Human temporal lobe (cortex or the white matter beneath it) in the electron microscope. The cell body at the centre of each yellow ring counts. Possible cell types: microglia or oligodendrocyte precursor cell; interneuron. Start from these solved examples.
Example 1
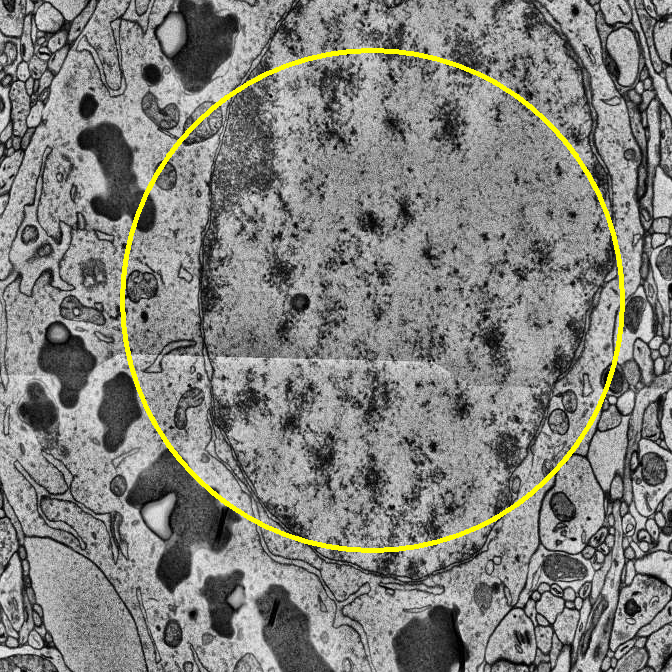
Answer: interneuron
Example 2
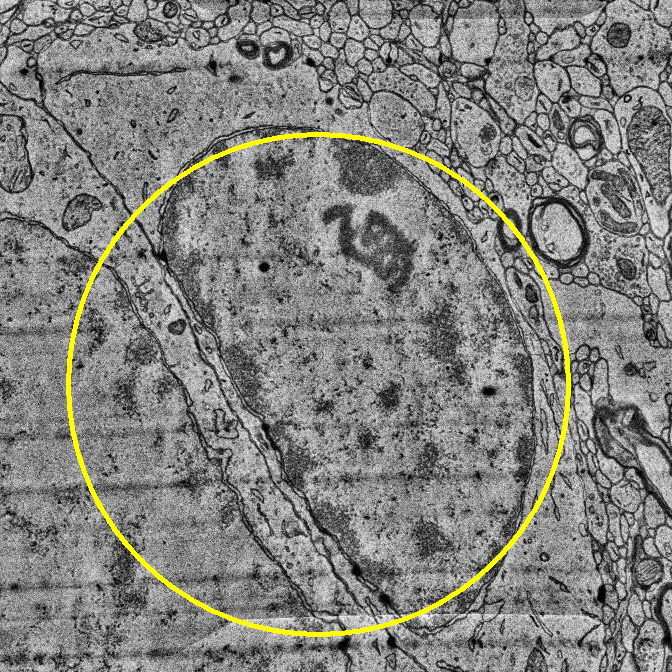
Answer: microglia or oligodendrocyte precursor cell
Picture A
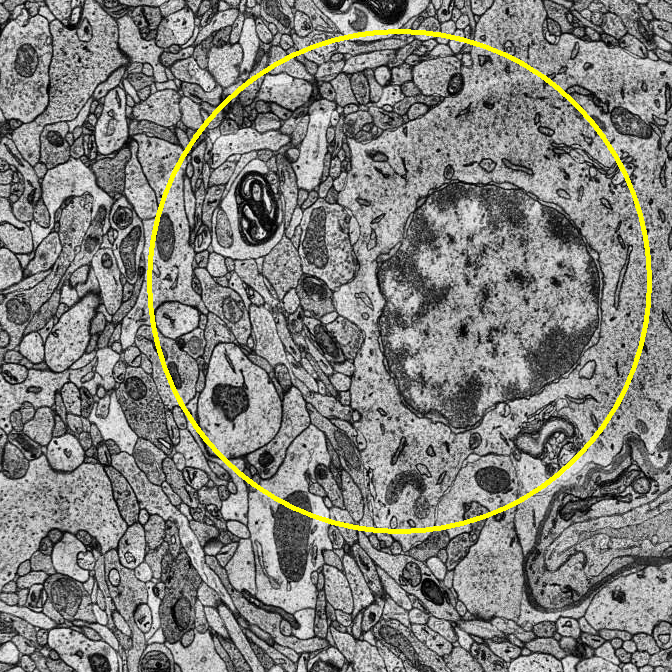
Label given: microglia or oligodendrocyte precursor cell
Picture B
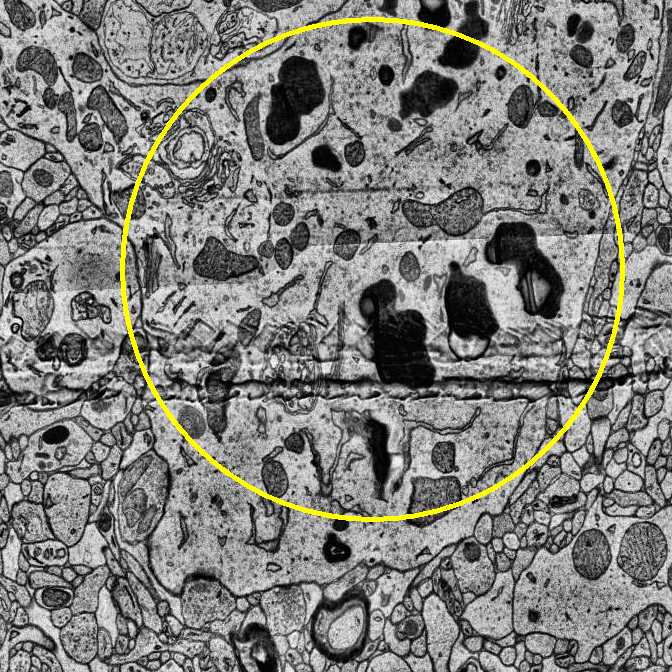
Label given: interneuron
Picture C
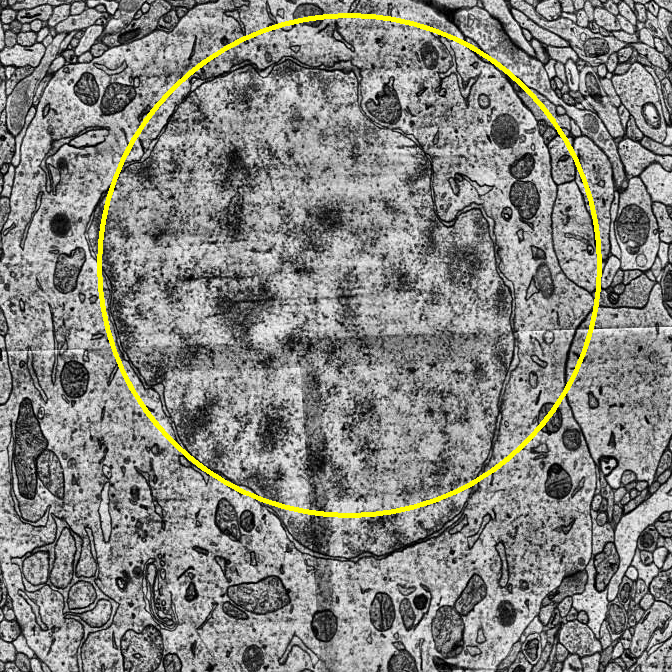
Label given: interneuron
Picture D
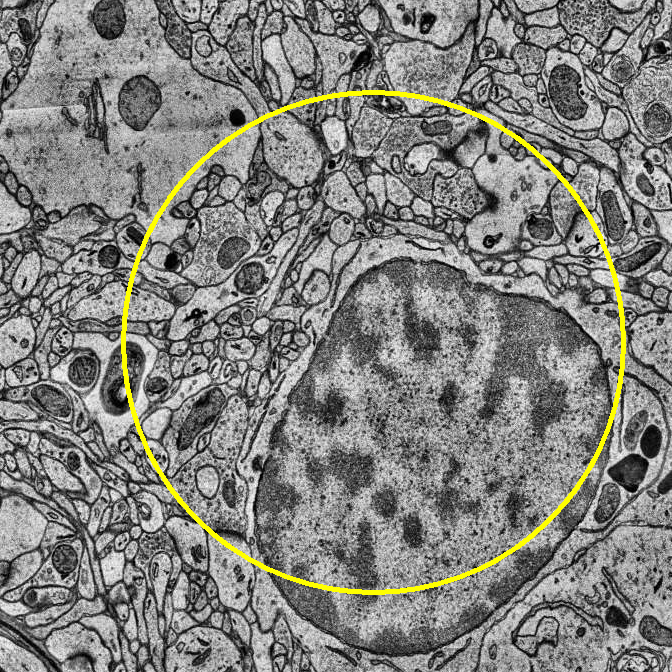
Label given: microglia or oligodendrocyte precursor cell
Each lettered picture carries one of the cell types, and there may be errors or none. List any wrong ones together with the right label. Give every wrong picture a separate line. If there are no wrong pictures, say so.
None of the labels needs changing.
